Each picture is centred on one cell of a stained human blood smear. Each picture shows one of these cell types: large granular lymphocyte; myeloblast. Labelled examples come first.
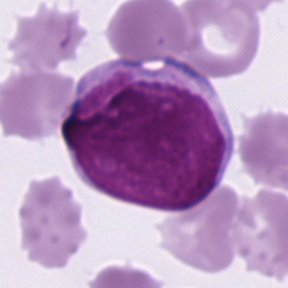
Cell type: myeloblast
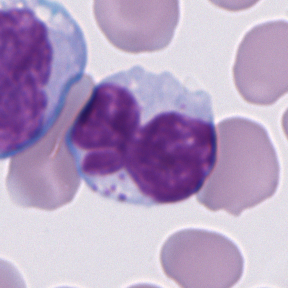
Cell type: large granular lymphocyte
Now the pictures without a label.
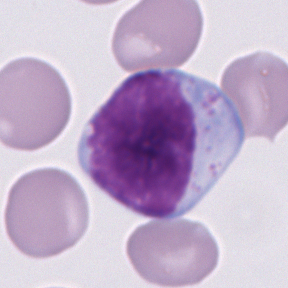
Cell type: large granular lymphocyte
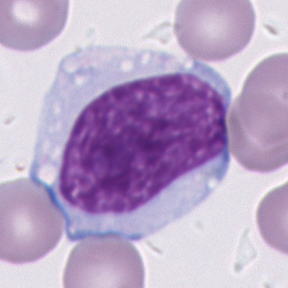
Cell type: myeloblast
